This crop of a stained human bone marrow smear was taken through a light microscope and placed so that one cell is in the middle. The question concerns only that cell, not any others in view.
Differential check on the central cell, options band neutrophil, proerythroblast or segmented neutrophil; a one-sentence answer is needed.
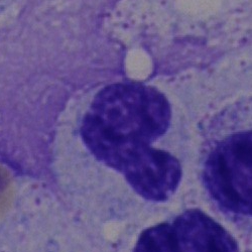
At the middle of the frame sits a band neutrophil.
